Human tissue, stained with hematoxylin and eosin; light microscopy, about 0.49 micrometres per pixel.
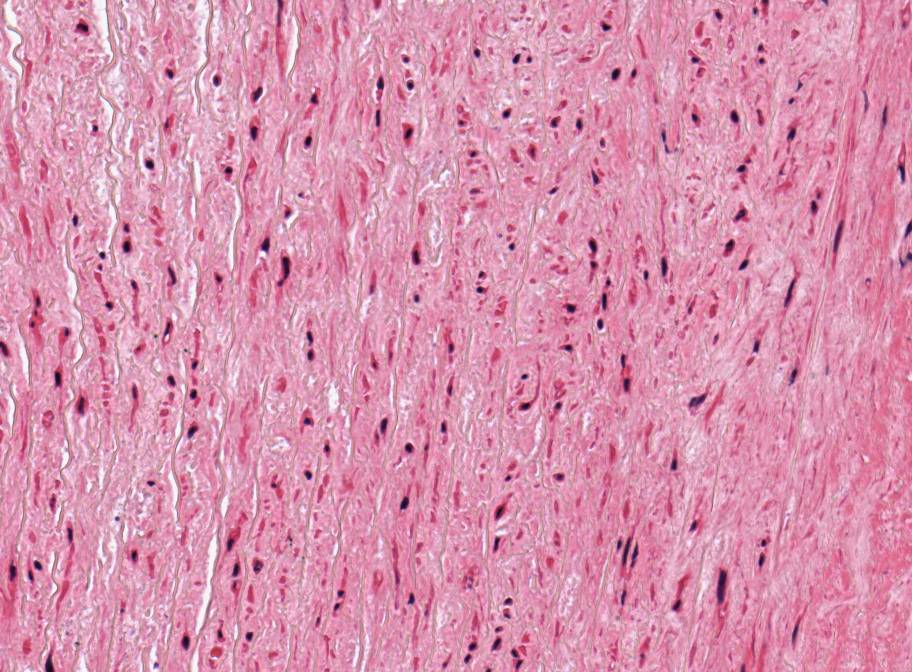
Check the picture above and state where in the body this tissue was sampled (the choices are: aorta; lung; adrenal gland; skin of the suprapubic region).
aorta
